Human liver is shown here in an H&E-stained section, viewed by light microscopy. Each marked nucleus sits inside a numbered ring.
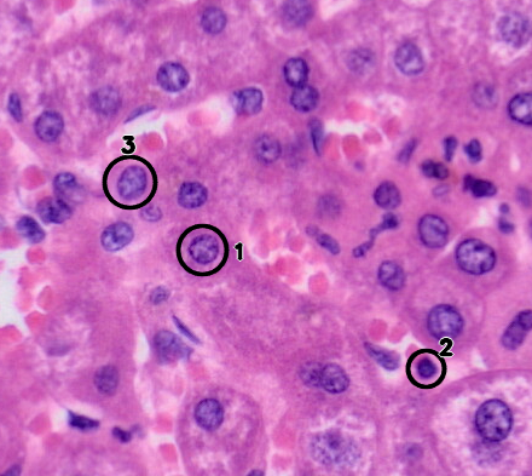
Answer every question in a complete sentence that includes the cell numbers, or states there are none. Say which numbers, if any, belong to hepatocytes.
Just one numbered cell is a hepatocyte, and that cell is number 1.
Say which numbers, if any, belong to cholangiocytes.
Just one of the numbered cells is a cholangiocyte, namely number 3.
